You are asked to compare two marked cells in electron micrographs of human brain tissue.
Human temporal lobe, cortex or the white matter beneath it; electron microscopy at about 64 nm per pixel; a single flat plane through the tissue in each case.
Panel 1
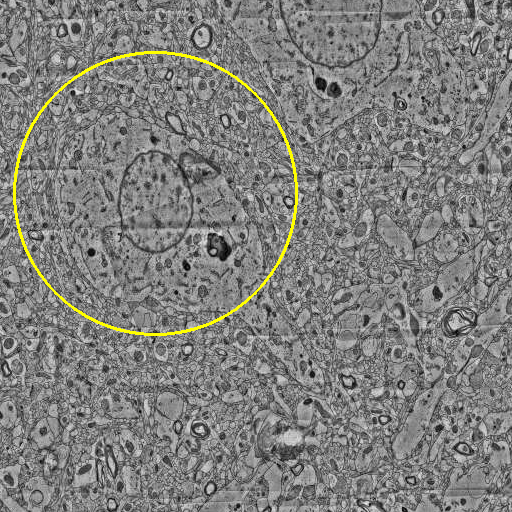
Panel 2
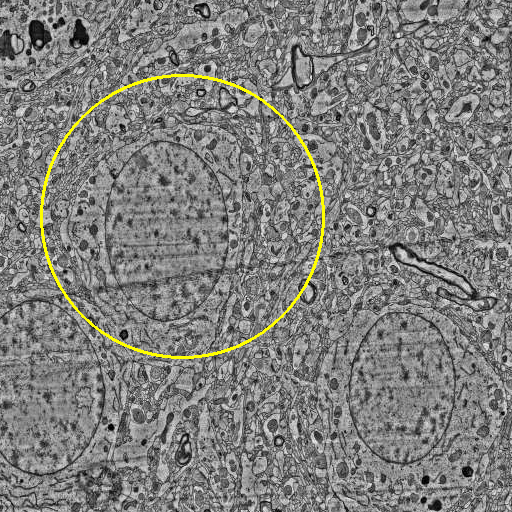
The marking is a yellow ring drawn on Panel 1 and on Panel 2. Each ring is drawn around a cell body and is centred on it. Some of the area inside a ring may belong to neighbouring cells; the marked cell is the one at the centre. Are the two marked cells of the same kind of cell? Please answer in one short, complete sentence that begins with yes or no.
Yes, the two marked cells are of the same kind.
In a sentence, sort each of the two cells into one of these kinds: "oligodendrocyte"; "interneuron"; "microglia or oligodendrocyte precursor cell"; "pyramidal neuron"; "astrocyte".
The second cell is a pyramidal neuron, just as the first is.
